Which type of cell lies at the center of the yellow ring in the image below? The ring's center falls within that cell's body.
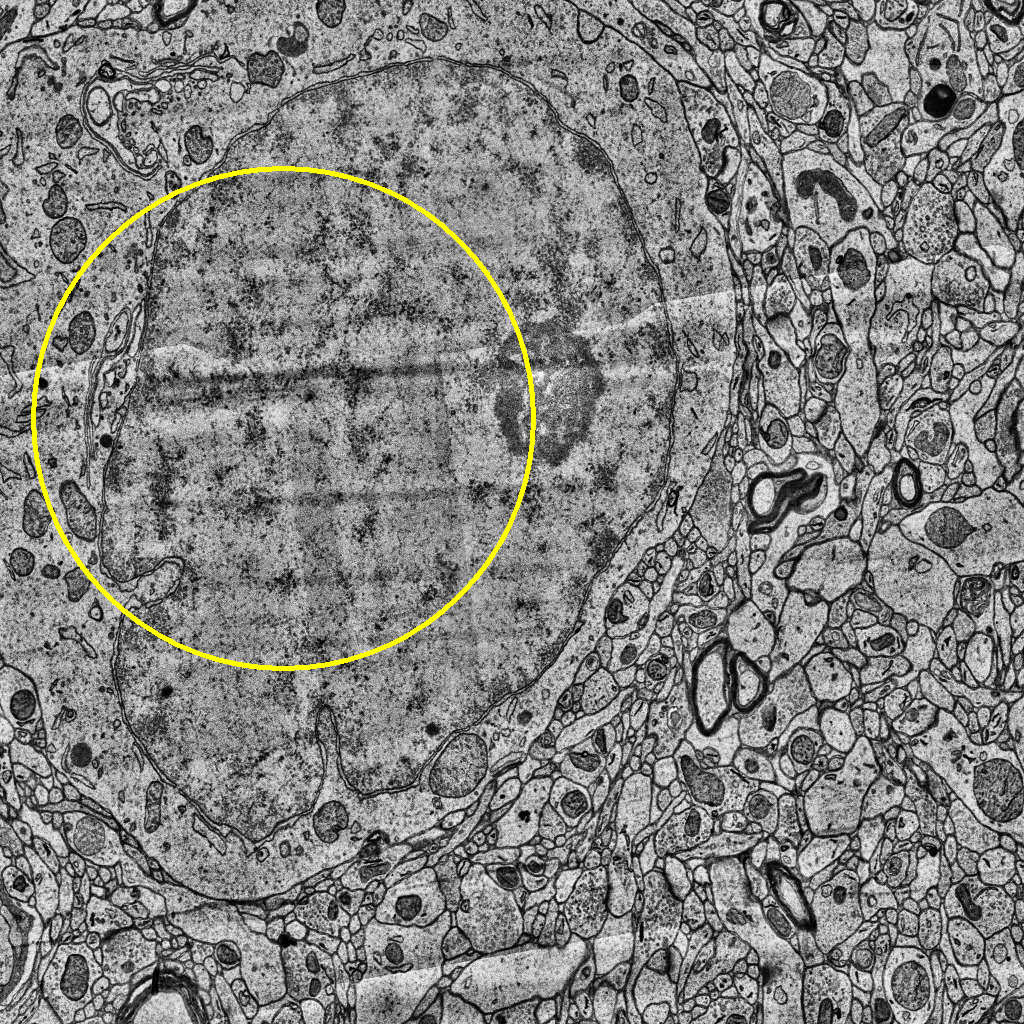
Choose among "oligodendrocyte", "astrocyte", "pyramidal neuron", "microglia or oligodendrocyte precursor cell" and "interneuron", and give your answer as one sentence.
The cell body at the center belongs to an interneuron.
